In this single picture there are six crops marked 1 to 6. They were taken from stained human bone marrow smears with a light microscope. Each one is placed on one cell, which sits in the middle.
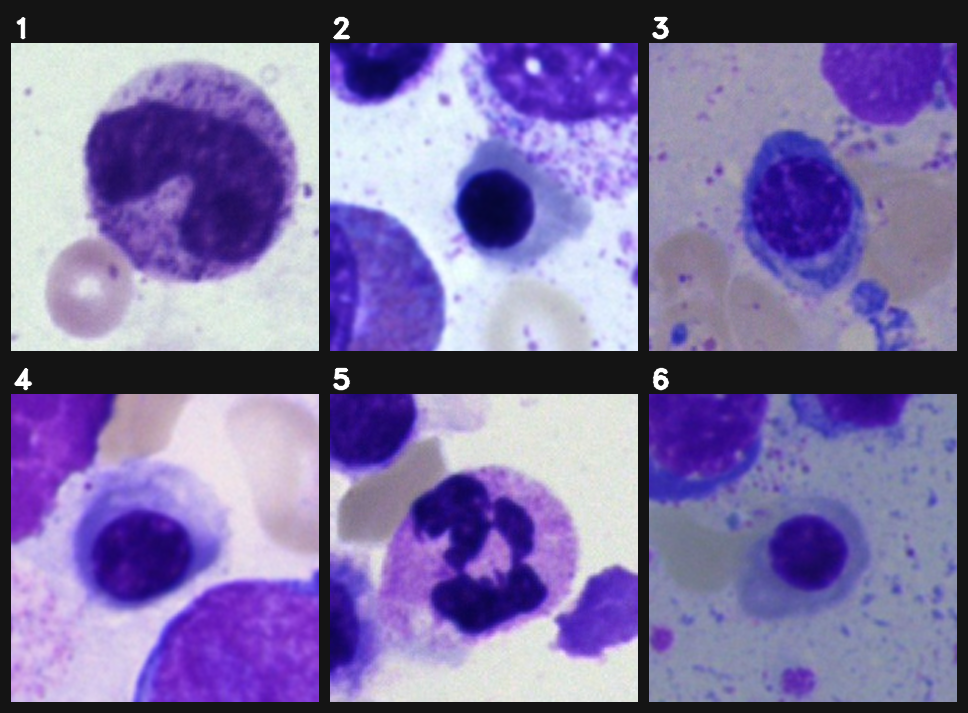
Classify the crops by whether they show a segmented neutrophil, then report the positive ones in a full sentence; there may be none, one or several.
Exactly one crop shows a segmented neutrophil, namely crop 5.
